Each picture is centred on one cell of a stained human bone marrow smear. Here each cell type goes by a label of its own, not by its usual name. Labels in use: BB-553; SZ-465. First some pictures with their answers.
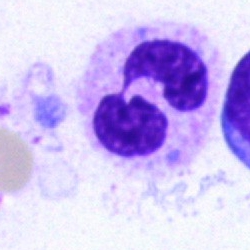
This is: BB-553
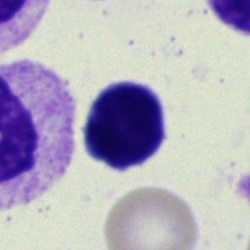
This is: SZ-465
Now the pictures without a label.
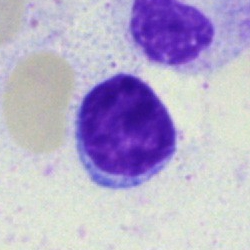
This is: SZ-465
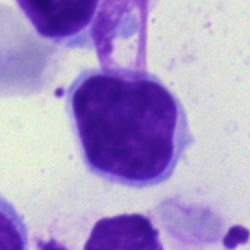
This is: SZ-465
